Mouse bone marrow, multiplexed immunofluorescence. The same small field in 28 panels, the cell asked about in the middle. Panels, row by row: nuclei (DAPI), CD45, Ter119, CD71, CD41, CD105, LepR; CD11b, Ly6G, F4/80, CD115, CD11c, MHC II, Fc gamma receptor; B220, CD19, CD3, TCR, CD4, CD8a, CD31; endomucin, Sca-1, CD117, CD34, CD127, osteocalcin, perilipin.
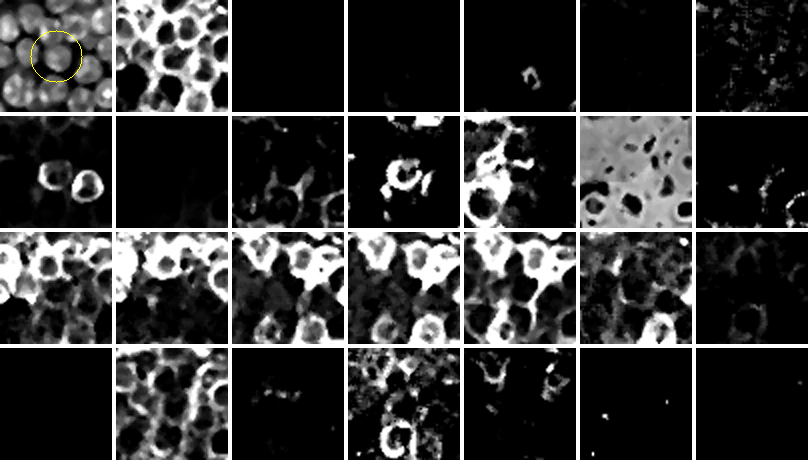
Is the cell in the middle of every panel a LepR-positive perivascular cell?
No, it is a monocyte.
